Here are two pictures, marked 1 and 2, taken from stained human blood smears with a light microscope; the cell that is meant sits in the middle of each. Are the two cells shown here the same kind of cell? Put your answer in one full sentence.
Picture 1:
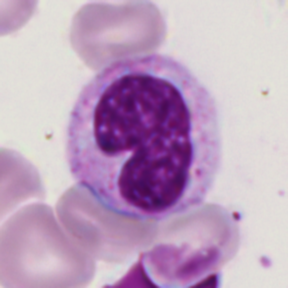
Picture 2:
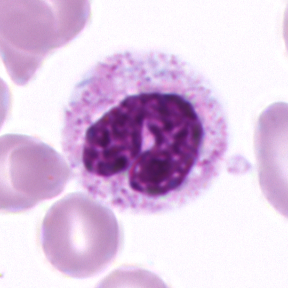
Yes, they are the same type: both are band neutrophils.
